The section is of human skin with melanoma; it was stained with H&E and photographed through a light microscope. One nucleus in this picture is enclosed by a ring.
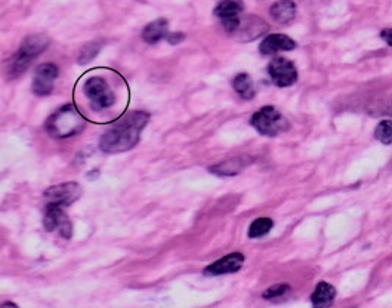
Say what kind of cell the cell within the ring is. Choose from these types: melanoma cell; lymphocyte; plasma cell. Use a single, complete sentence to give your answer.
In short, the cell within the ring on this section is a lymphocyte.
